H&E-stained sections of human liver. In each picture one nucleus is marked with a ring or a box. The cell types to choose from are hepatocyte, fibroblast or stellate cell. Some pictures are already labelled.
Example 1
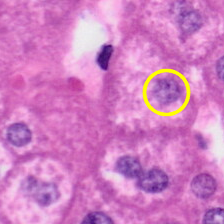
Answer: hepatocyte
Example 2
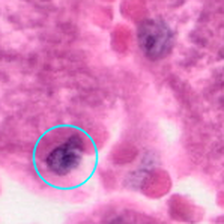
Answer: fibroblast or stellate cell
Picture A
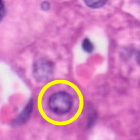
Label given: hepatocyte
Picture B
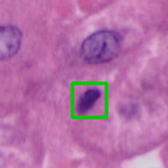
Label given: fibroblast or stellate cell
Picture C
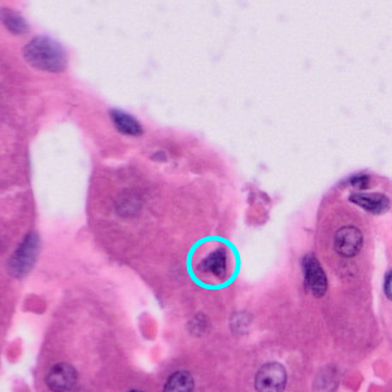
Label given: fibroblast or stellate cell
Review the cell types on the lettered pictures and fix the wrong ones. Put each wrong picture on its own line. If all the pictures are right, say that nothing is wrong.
All correct.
